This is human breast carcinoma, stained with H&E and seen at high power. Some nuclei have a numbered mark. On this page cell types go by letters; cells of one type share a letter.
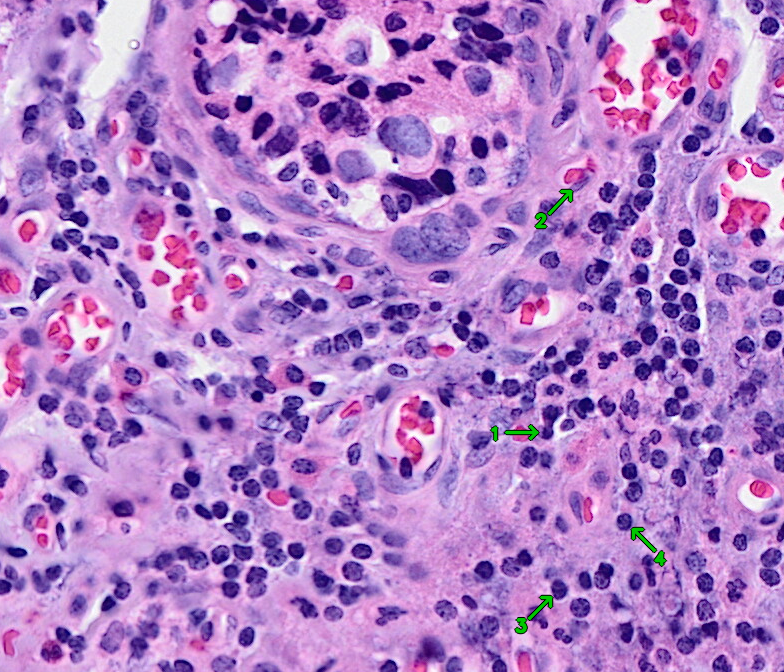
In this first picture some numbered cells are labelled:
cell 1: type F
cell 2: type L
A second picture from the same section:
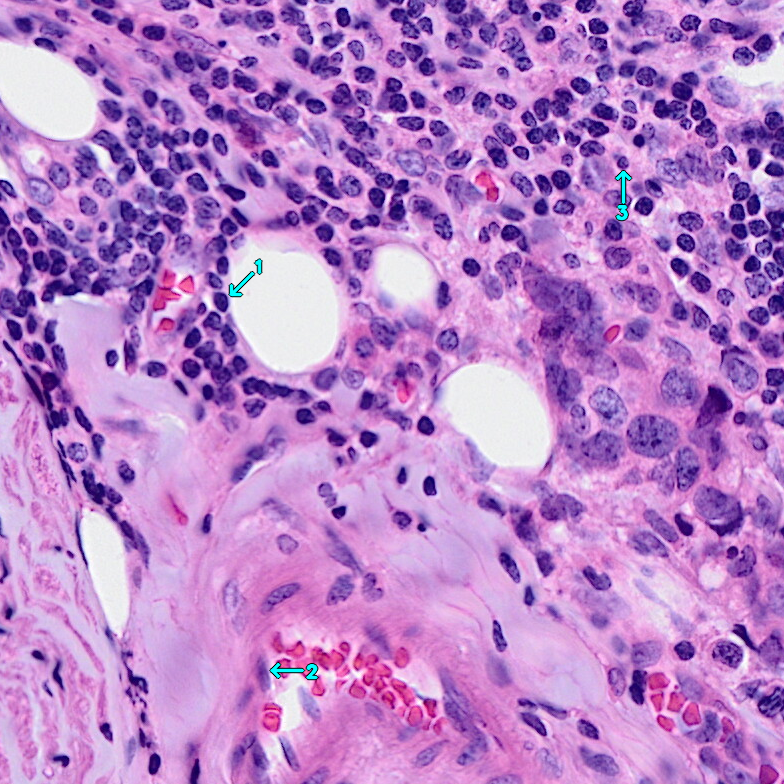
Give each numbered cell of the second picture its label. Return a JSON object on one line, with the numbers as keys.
{"1": "type F", "2": "type L", "3": "type F"}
